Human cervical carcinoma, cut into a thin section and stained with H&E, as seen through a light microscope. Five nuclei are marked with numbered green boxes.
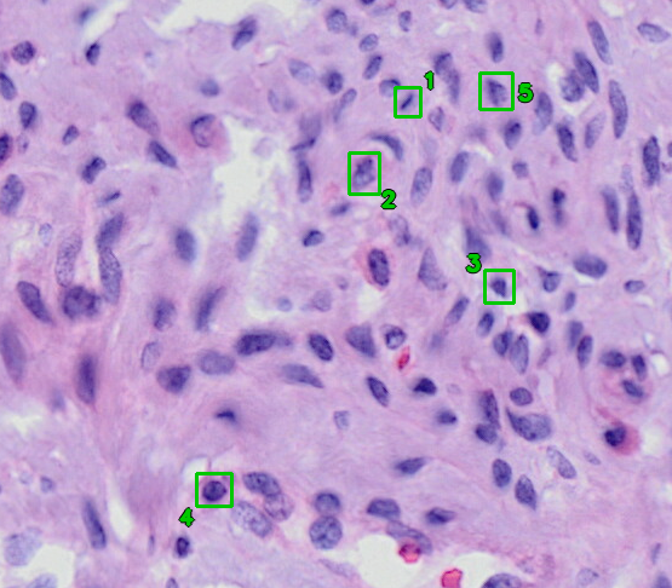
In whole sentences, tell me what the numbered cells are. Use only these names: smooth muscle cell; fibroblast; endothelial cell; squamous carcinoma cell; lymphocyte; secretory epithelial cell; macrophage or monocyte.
Cells 1, 3 and 5 are fibroblasts. Cells 2 and 4 are endothelial cells.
